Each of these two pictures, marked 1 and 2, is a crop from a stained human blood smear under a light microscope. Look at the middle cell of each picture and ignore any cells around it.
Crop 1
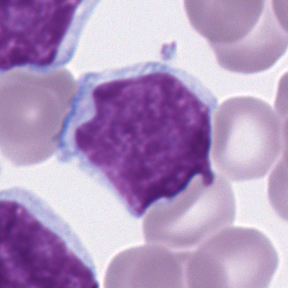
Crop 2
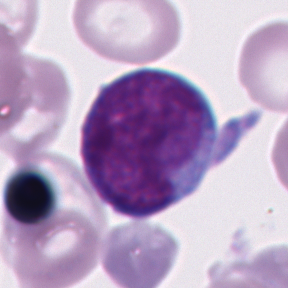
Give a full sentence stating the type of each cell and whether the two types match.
No, a typical lymphocyte is centred in crop 1, and a myeloblast is centred in crop 2.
